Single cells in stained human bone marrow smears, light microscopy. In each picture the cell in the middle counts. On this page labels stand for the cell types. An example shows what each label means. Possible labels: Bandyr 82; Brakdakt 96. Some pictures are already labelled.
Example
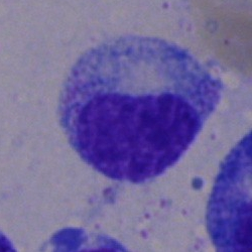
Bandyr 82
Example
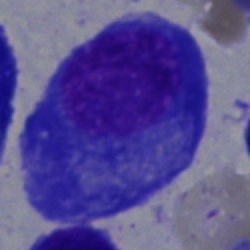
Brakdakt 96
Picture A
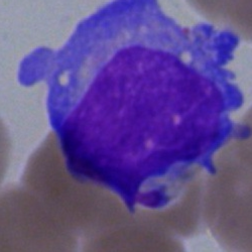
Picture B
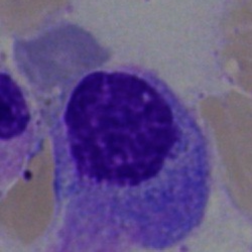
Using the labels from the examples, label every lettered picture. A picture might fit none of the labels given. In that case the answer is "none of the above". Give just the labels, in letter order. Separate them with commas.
none of the above, Brakdakt 96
